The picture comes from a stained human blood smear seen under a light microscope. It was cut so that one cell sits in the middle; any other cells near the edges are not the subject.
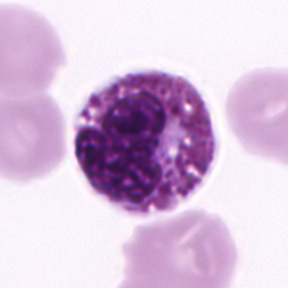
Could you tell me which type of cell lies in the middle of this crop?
eosinophil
